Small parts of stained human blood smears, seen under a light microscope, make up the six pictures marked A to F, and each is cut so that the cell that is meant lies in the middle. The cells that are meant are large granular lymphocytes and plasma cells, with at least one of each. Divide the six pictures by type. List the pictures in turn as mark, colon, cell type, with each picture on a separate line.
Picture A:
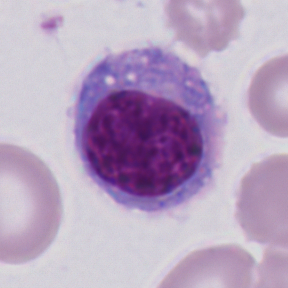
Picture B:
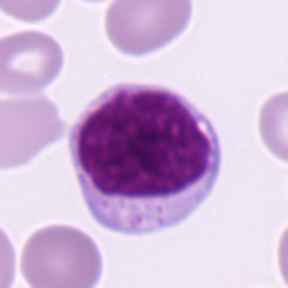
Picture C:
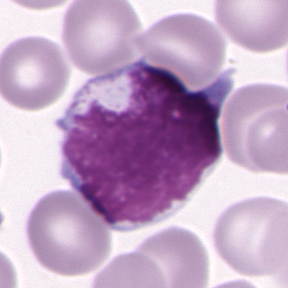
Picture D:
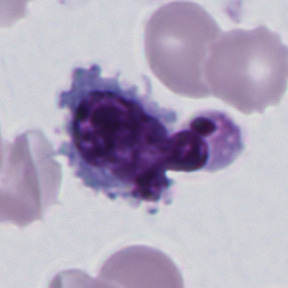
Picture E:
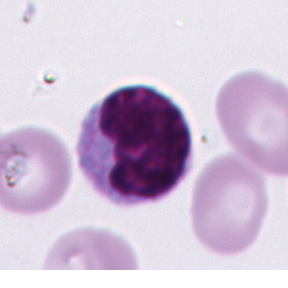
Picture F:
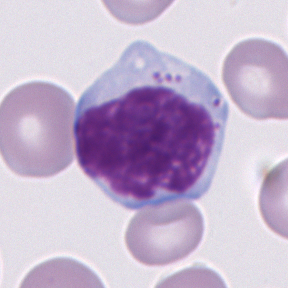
A: plasma cell
B: large granular lymphocyte
C: large granular lymphocyte
D: plasma cell
E: large granular lymphocyte
F: large granular lymphocyte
